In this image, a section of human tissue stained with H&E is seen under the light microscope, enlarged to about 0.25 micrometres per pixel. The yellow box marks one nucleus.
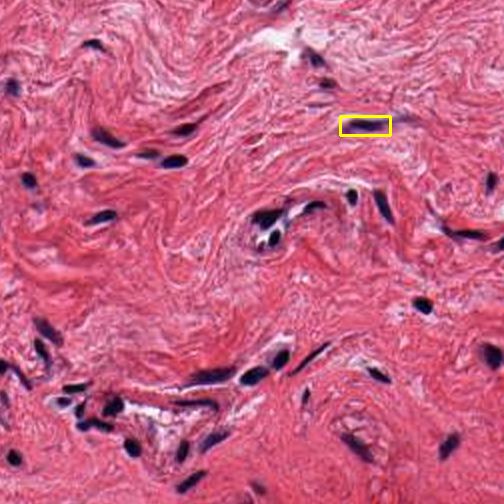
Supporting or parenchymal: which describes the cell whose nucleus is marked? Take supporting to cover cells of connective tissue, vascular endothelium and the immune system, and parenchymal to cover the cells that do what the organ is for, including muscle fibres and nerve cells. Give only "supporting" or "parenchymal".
supporting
